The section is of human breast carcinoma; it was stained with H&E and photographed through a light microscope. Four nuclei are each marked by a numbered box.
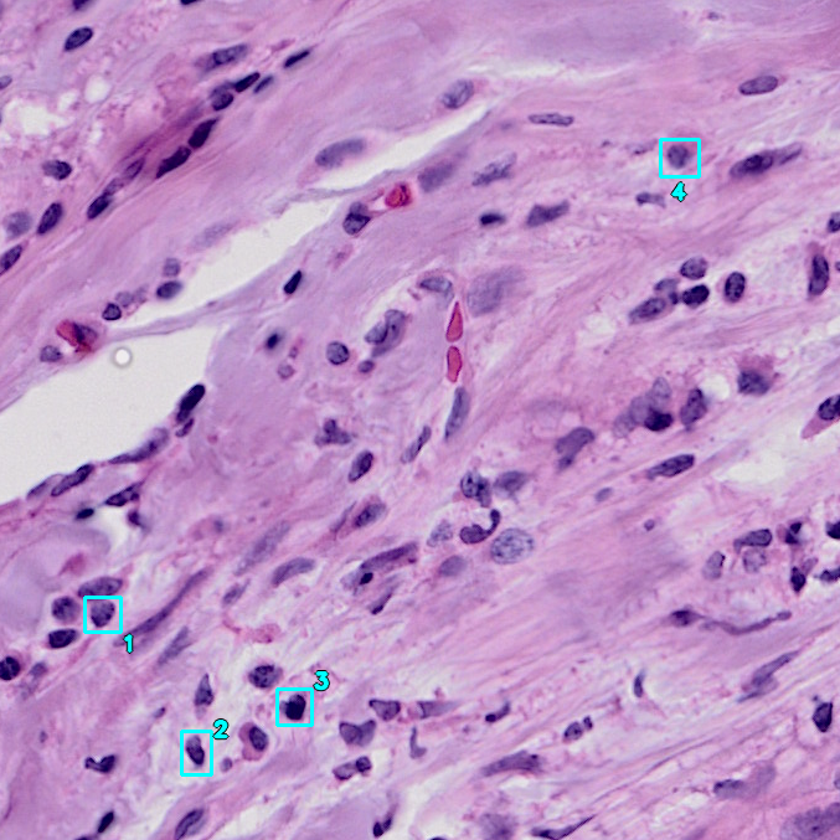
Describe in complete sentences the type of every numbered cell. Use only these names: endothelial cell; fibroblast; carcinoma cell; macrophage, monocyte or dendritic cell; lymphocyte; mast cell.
Cells 1, 2 and 3 are lymphocytes. Cell 4 is a mast cell.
